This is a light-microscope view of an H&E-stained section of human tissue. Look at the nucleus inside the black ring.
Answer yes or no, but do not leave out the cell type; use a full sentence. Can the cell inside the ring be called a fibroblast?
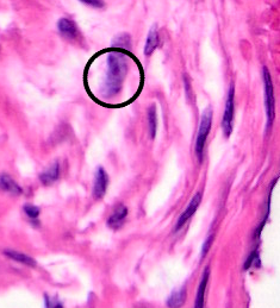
Yes, a fibroblast is the identity of the cell inside the ring in this section.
